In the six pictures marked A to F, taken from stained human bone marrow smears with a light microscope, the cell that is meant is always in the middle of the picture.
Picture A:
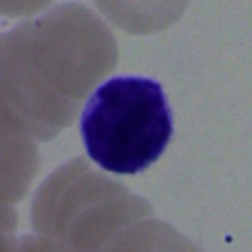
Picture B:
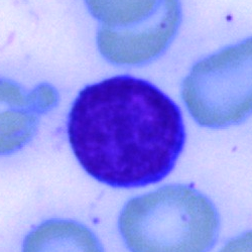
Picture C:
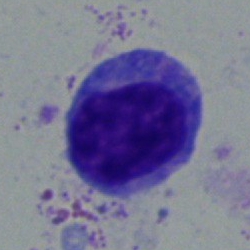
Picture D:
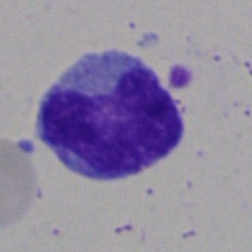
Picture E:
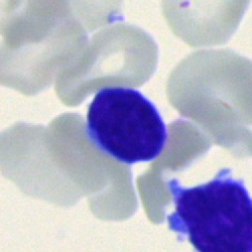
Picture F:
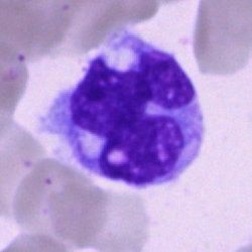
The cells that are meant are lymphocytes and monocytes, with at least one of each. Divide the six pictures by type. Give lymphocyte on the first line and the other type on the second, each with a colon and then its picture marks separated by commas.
lymphocyte: A, B, E
monocyte: C, D, F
